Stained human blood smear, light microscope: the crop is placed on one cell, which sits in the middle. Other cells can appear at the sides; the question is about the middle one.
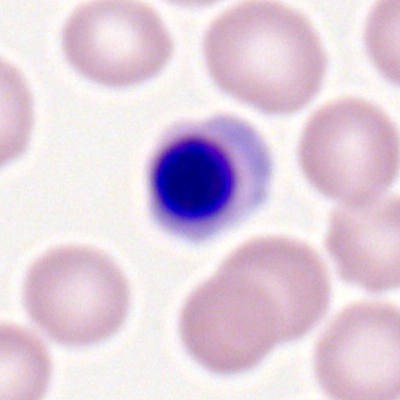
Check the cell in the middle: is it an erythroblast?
yes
